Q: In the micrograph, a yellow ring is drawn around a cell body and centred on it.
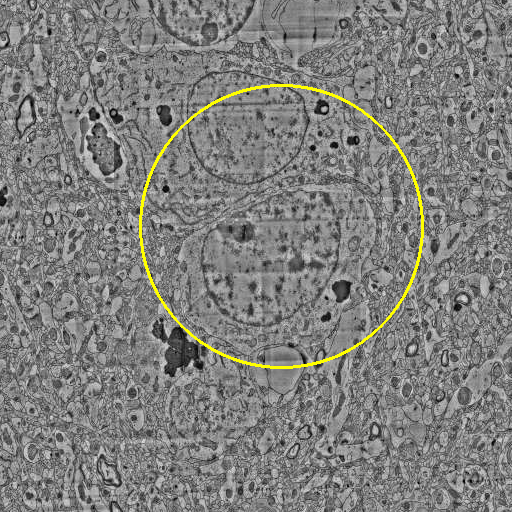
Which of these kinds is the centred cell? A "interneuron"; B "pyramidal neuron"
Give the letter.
A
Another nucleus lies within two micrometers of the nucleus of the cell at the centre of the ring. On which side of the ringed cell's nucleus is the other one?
The other nucleus is situated above it.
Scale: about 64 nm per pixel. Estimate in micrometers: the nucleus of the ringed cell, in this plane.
Approximately 10 by 8 micrometers in this plane.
